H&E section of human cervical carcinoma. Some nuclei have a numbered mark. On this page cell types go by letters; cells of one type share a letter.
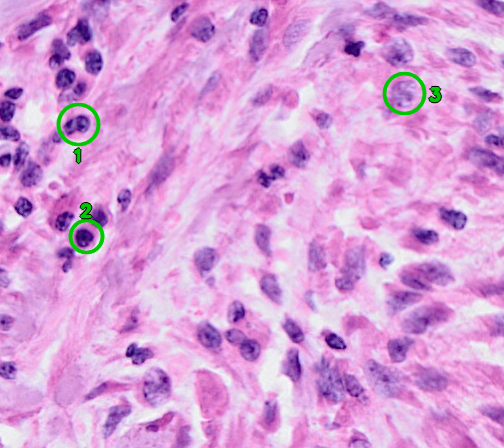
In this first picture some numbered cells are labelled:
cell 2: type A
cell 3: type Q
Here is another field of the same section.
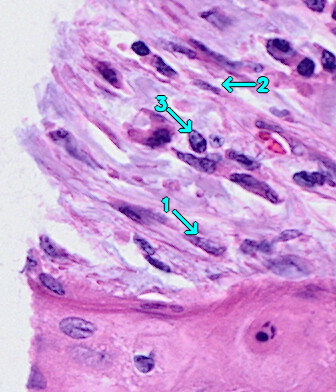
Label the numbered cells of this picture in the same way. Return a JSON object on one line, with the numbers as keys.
{"1": "type Q", "2": "type Q", "3": "type A"}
